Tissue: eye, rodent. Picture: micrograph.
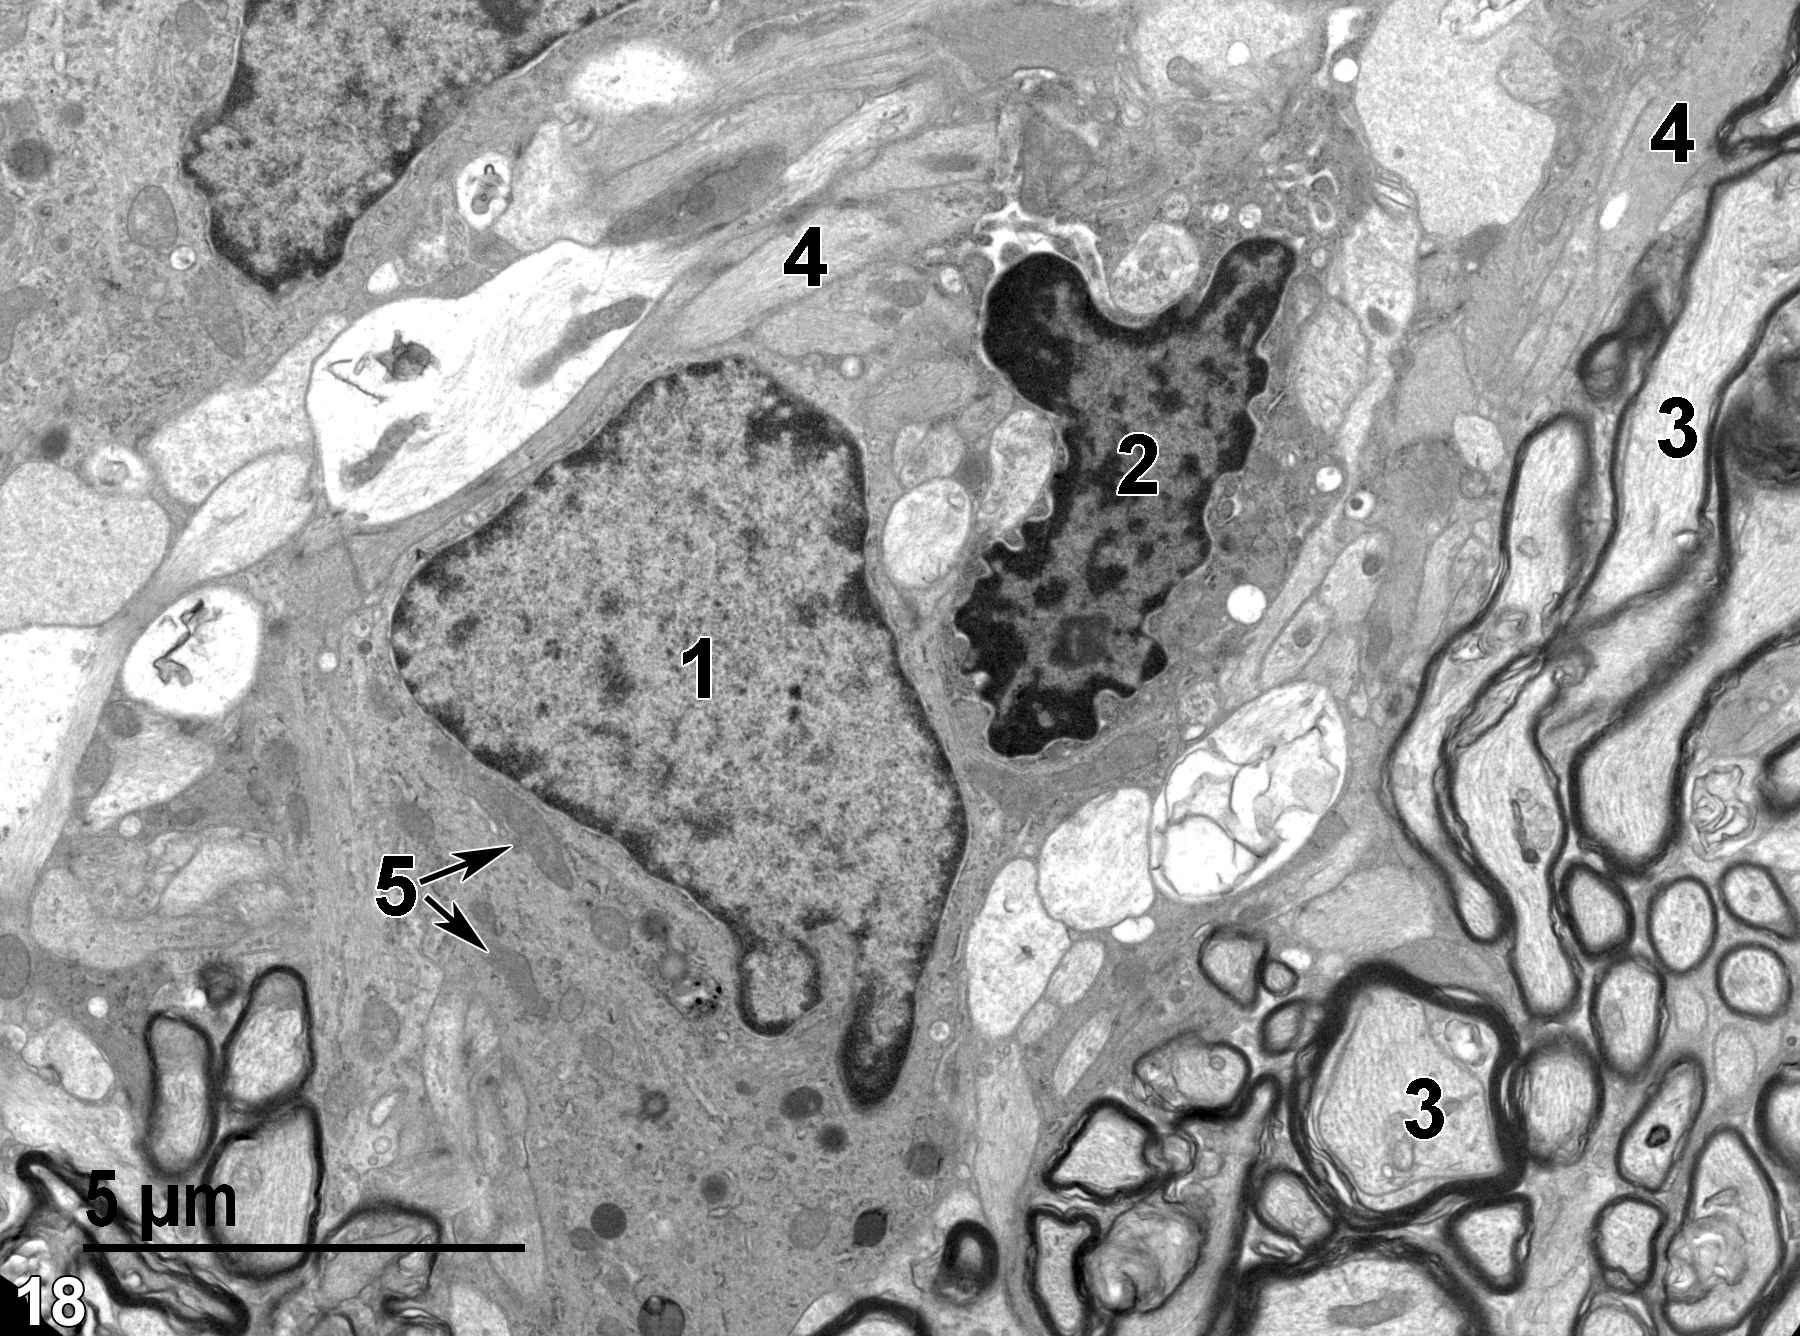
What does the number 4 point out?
Unmyelinated neuronal processes.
